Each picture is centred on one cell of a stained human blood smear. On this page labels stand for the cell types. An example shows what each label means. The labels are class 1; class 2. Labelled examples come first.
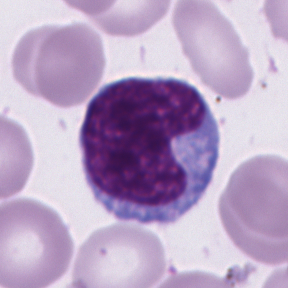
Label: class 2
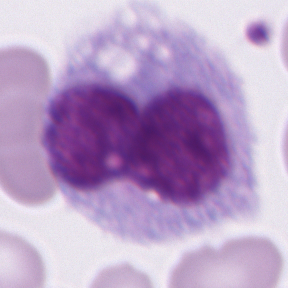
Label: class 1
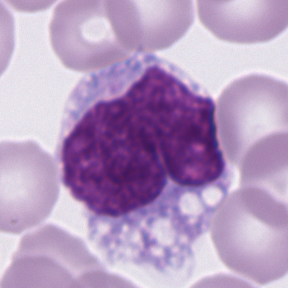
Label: class 1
